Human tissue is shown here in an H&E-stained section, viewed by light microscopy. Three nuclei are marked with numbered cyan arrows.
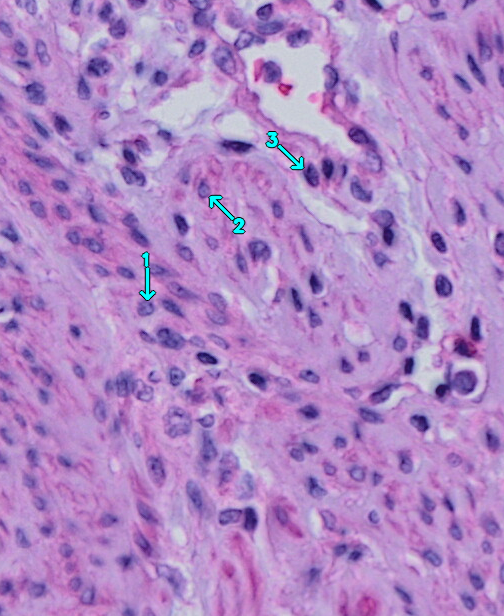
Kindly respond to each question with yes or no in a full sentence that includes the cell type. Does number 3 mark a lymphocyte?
Yes, on this slide, the cell with number 3 is a lymphocyte.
